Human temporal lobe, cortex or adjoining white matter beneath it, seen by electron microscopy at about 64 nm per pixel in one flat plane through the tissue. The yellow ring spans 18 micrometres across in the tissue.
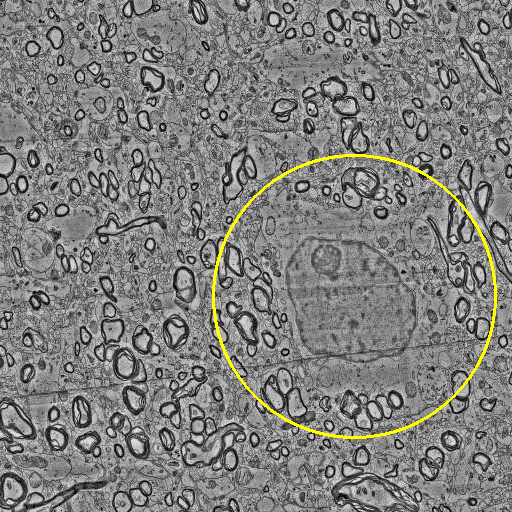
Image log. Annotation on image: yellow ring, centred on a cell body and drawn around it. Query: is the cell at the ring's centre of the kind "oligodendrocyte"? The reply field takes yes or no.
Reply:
no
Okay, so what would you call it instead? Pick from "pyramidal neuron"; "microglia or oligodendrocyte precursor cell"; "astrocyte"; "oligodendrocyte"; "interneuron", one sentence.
The correct answer is that the cell is an astrocyte.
